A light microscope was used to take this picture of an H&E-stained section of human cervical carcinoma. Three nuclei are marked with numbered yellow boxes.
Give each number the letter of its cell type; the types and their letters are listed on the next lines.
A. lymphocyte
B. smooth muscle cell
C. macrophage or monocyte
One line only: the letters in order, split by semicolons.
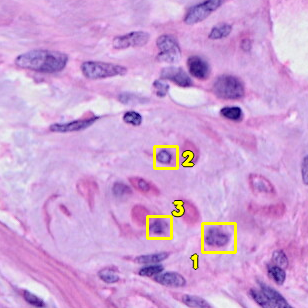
C; B; B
